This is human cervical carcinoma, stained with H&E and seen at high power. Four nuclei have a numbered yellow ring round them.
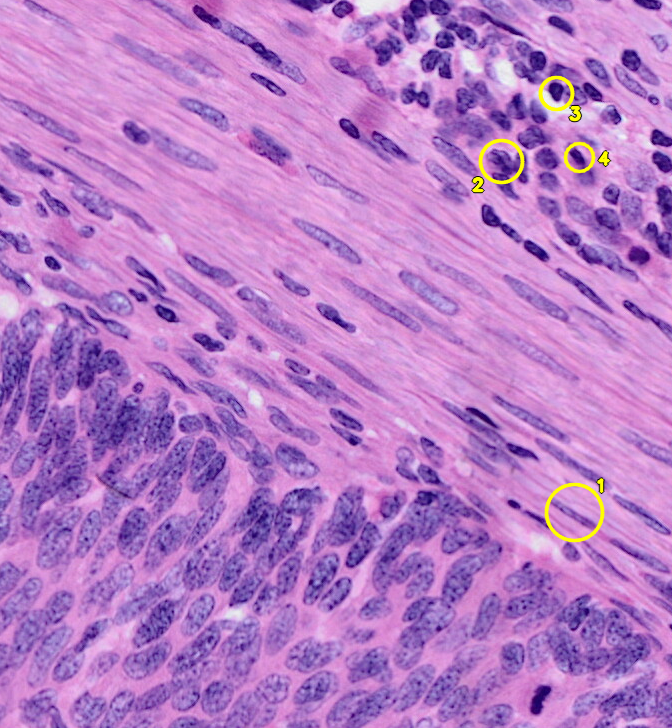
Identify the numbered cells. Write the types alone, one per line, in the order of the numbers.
fibroblast
lymphocyte
lymphocyte
lymphocyte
